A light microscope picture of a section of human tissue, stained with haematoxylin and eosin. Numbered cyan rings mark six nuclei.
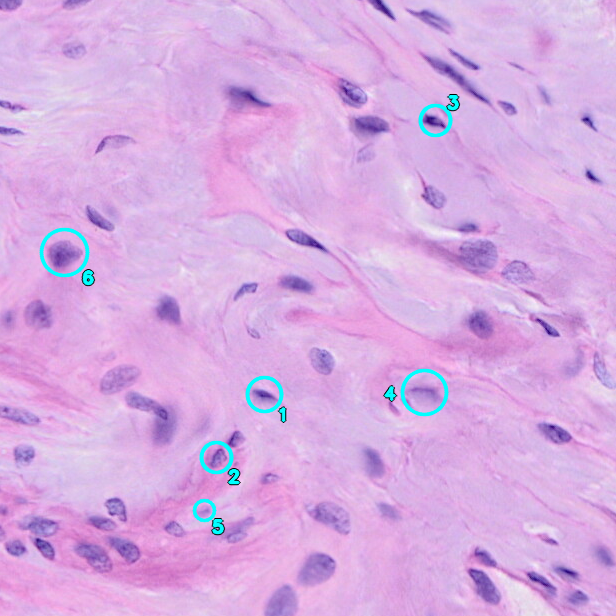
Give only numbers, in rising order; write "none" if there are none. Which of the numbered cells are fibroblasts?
1, 3, 4, 6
